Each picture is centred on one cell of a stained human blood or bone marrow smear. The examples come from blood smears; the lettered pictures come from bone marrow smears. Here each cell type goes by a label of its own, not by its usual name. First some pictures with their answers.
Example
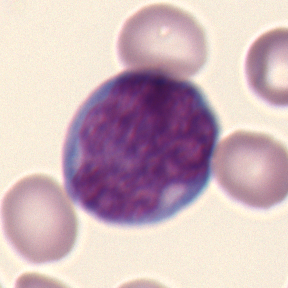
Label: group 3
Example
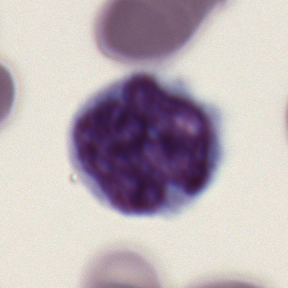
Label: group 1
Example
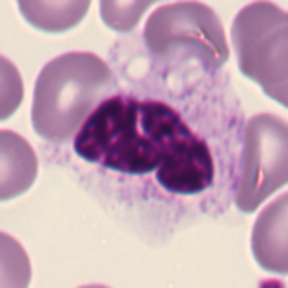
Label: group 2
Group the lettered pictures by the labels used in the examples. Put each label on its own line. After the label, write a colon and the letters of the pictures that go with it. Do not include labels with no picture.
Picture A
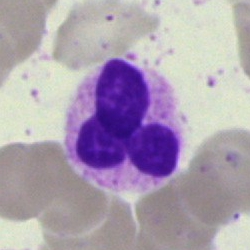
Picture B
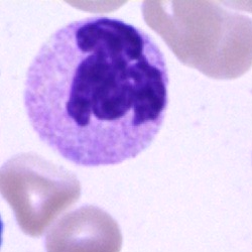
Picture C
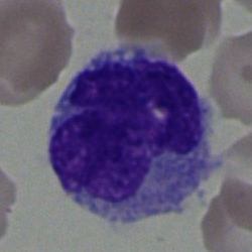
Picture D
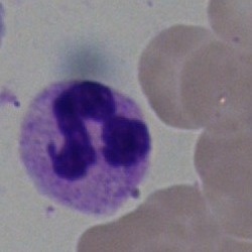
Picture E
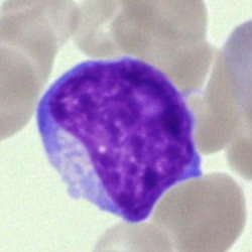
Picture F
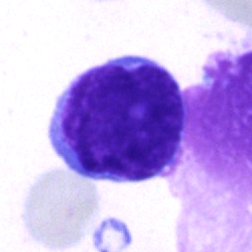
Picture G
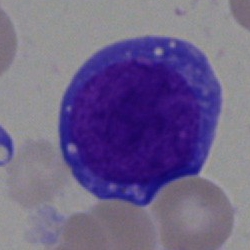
group 3: E, F, G
group 1: C
group 2: A, B, D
